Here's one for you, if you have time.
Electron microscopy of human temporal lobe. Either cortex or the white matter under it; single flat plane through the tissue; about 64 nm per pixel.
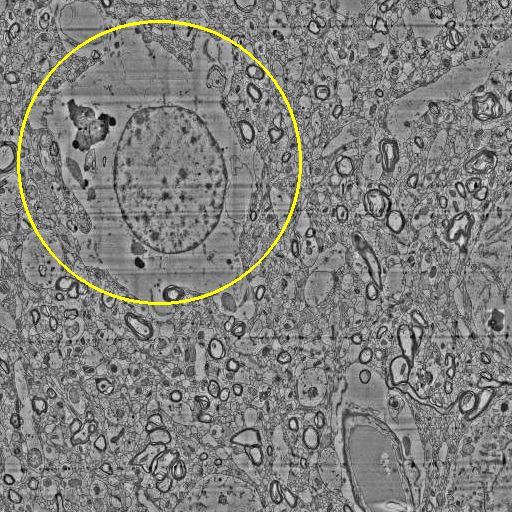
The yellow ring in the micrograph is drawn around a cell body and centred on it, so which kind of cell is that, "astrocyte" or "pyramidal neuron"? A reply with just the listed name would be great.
astrocyte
